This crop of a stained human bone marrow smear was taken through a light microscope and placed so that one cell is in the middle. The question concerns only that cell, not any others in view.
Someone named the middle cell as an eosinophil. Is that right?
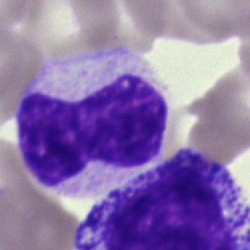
no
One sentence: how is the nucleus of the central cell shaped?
We find a nucleus divided into at least two lobes.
